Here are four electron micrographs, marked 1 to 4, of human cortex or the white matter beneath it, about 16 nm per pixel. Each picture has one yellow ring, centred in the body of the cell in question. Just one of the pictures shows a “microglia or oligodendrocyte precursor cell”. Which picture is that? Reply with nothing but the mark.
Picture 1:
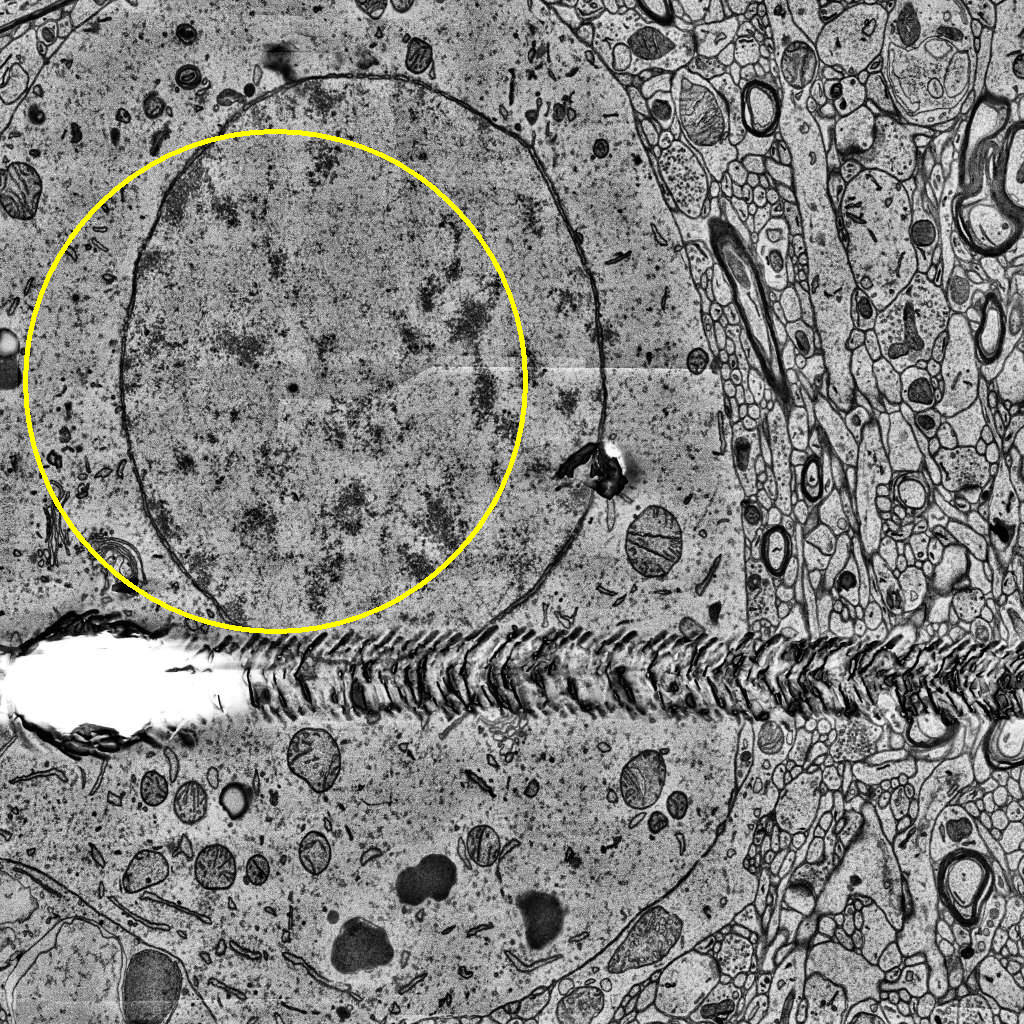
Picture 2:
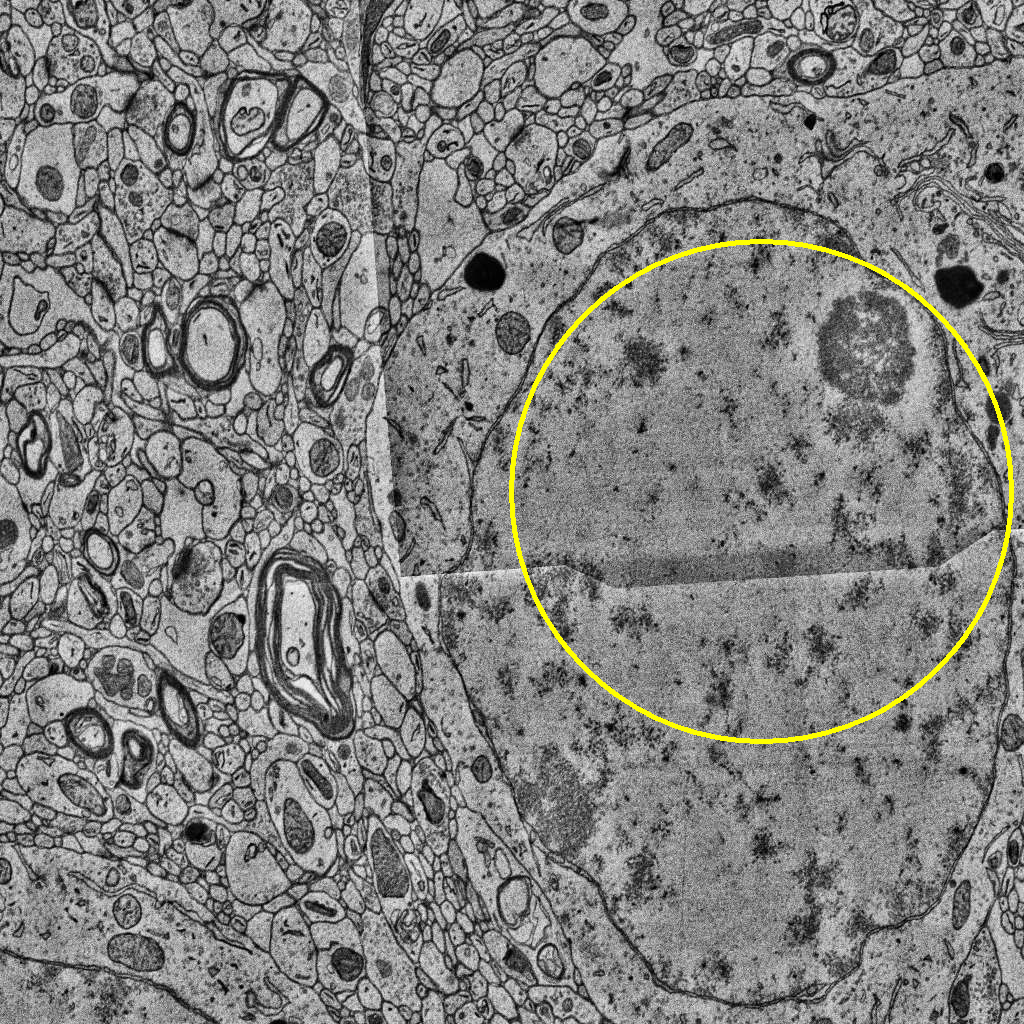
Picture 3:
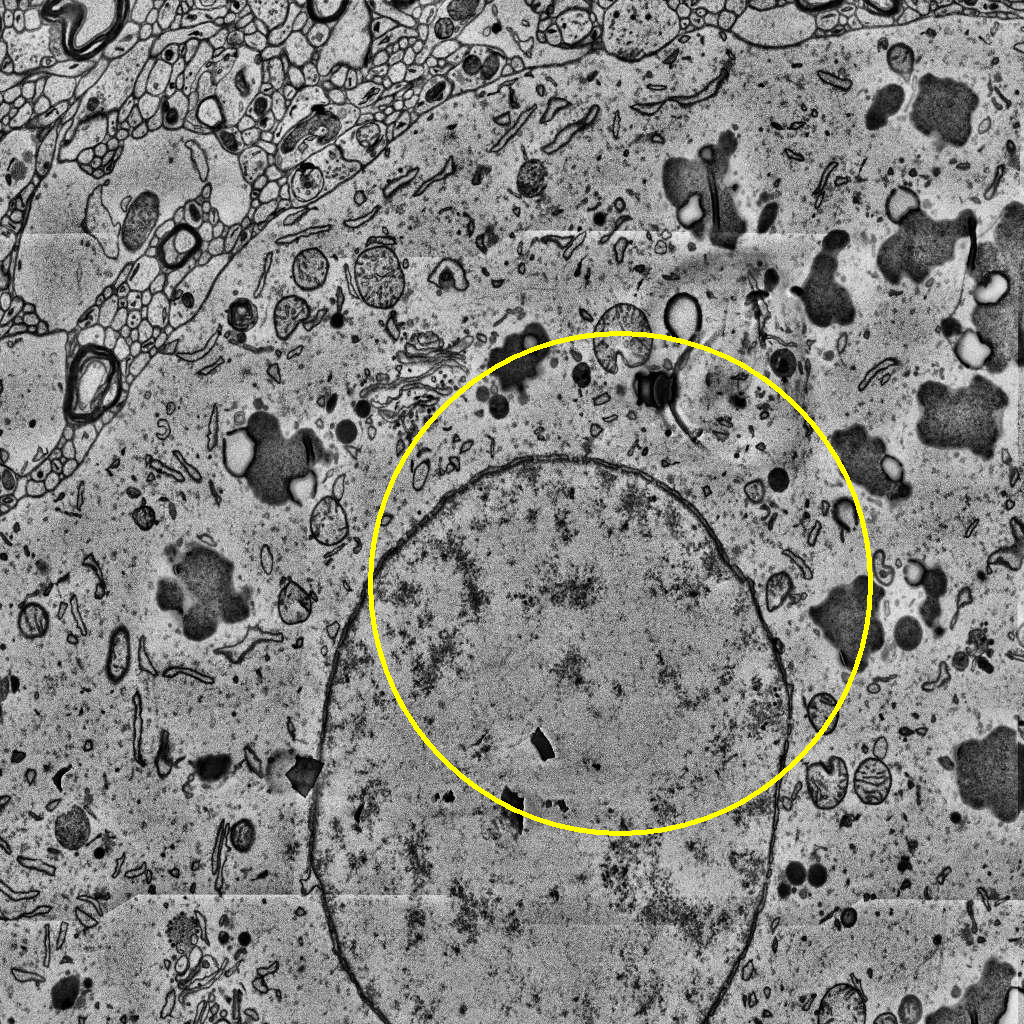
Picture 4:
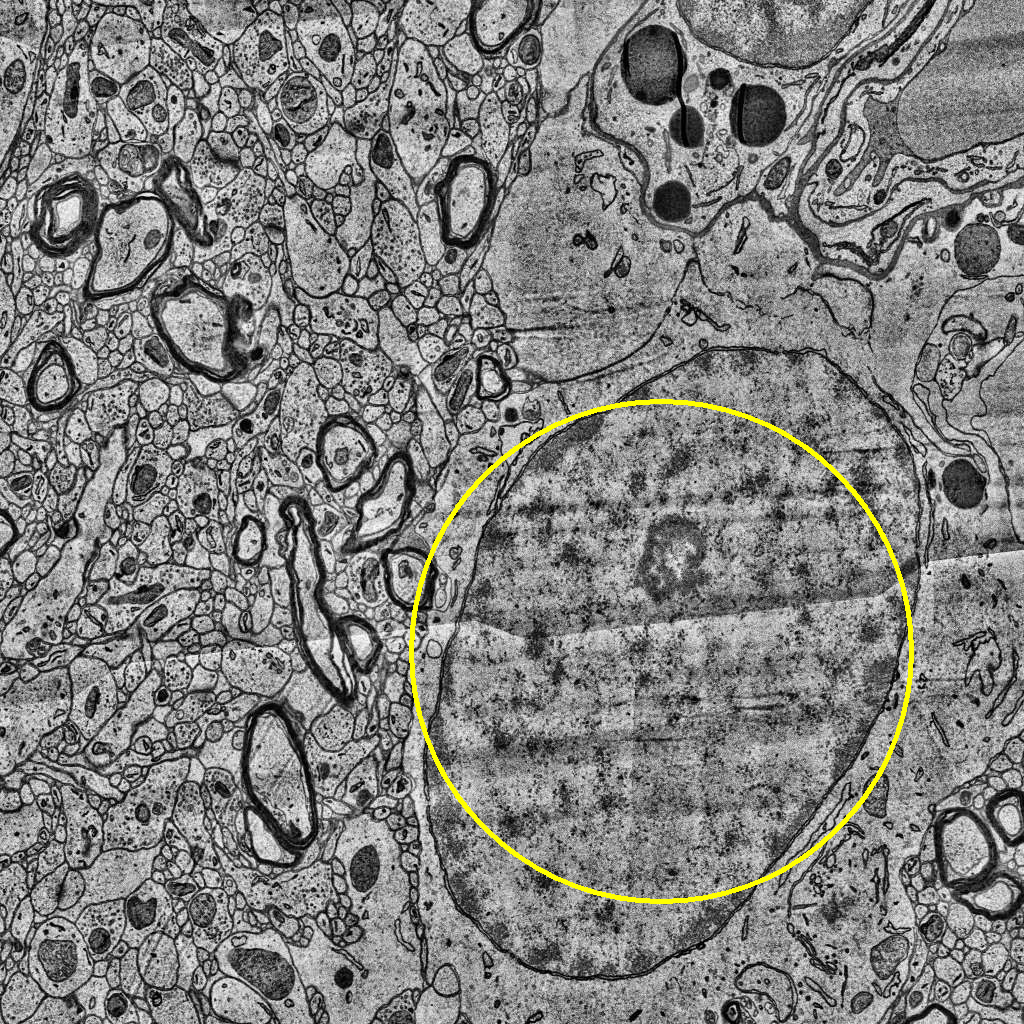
4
